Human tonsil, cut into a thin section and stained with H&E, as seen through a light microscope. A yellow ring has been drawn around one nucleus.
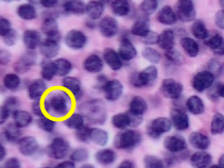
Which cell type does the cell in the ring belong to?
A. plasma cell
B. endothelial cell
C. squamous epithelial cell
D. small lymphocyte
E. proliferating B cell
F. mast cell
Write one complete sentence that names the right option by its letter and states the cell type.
It is option D that correctly calls the cell in the ring a small lymphocyte.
